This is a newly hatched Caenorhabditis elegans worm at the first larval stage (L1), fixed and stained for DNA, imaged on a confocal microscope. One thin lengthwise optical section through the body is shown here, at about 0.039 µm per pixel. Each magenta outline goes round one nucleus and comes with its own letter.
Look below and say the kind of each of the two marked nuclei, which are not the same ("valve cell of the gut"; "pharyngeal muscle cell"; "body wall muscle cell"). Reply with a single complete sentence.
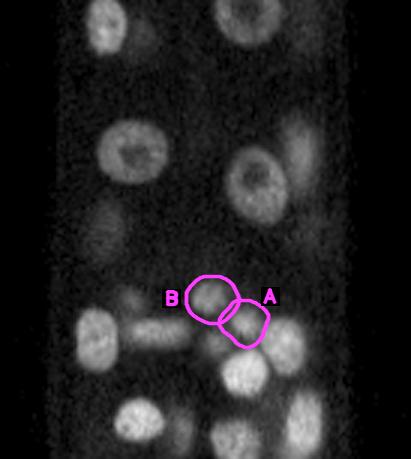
The nucleus A is that of a valve cell of the gut, while B is that of a pharyngeal muscle cell.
